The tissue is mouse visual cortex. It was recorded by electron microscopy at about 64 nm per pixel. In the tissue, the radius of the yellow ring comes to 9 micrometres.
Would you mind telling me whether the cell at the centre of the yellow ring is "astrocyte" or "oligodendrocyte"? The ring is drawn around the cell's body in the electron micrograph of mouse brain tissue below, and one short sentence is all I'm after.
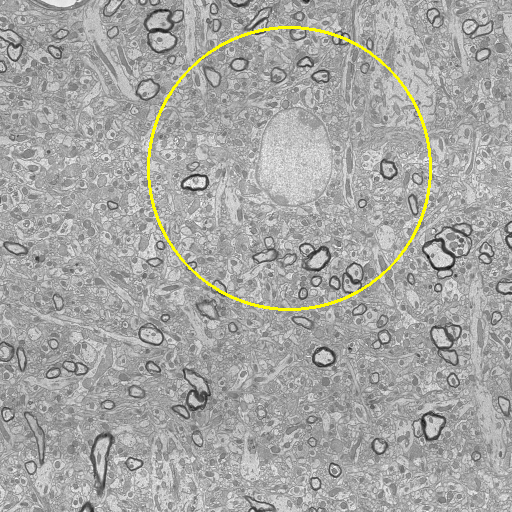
In the centre of the ring lies an astrocyte.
